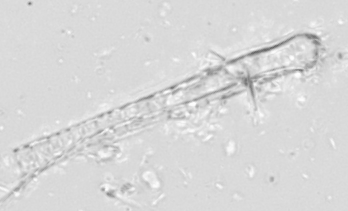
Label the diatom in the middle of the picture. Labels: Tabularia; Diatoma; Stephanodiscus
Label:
Diatoma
